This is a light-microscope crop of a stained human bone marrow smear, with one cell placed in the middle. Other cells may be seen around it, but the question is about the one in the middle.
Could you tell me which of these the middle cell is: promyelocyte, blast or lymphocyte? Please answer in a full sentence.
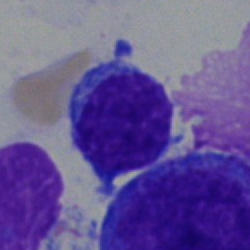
In short, the cell at the center is a lymphocyte.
